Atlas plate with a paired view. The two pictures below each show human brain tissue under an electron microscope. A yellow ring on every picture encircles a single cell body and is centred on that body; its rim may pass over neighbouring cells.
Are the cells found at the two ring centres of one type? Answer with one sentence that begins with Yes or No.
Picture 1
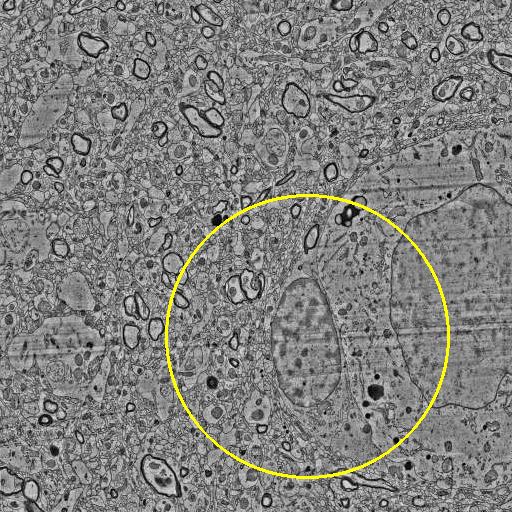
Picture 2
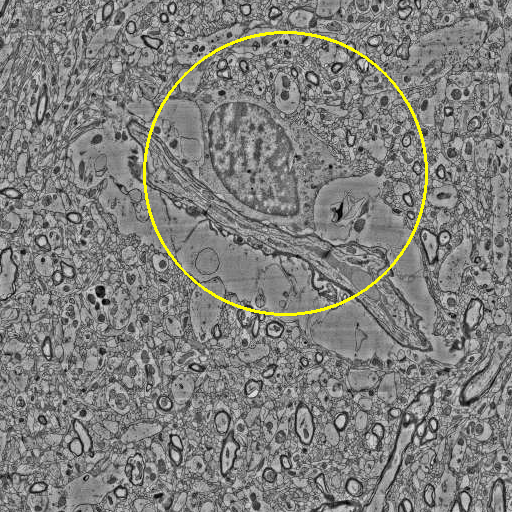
Yes, the two cells lying at the centres of the rings share a single type.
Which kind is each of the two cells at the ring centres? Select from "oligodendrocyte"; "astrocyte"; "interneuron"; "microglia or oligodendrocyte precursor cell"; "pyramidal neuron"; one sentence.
The cell at the ring centre is an oligodendrocyte in both pictures.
